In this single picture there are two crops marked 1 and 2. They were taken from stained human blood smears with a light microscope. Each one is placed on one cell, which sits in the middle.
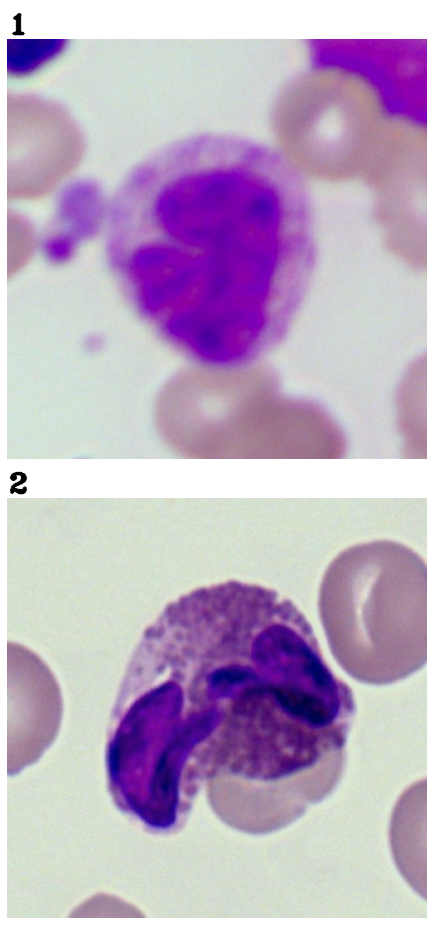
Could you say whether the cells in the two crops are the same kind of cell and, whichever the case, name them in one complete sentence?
No, the assignment should read crop 1, a band neutrophil; crop 2, an eosinophil.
